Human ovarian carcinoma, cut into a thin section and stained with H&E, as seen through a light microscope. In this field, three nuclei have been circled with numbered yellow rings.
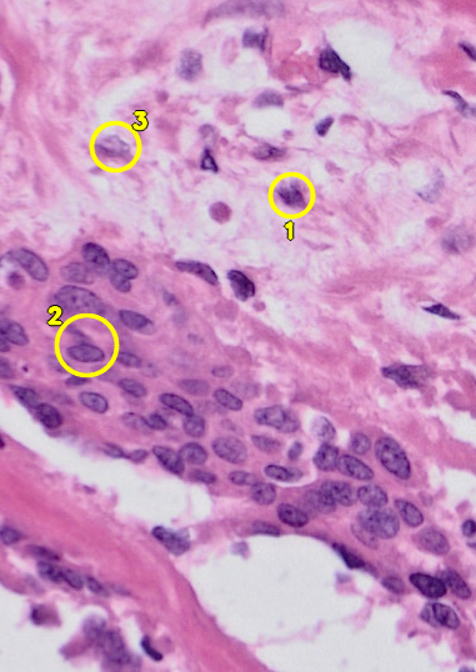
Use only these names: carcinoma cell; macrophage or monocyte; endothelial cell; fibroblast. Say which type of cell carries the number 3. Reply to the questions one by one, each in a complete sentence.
The cell marked with the number 3 is a fibroblast.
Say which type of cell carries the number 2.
The cell given label 2 is a carcinoma cell.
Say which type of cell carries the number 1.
The cell that is numbered 1 is a fibroblast.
